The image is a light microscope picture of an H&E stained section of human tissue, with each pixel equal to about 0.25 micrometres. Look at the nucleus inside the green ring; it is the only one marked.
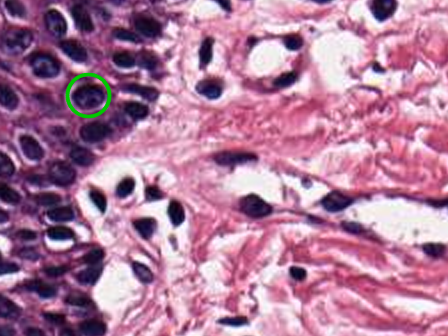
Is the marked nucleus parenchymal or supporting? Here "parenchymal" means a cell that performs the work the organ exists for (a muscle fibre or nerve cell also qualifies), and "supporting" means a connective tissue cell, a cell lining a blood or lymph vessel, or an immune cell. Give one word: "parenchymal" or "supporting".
parenchymal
